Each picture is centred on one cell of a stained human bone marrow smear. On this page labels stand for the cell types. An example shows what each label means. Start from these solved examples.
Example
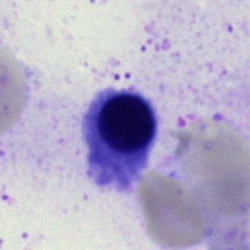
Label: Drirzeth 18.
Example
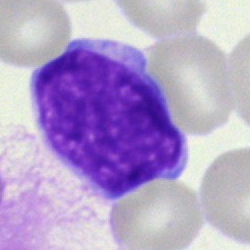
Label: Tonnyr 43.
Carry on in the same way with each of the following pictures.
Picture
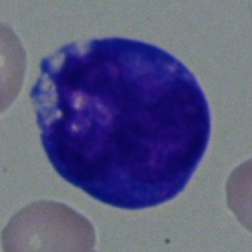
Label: Tonnyr 43.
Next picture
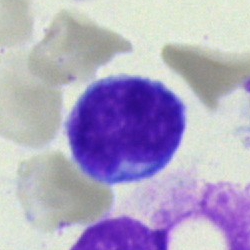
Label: Tonnyr 43.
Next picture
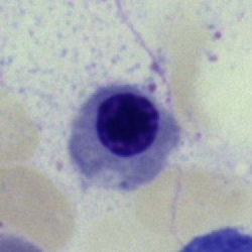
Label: Drirzeth 18.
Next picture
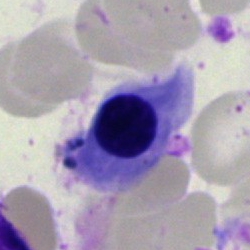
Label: Drirzeth 18.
